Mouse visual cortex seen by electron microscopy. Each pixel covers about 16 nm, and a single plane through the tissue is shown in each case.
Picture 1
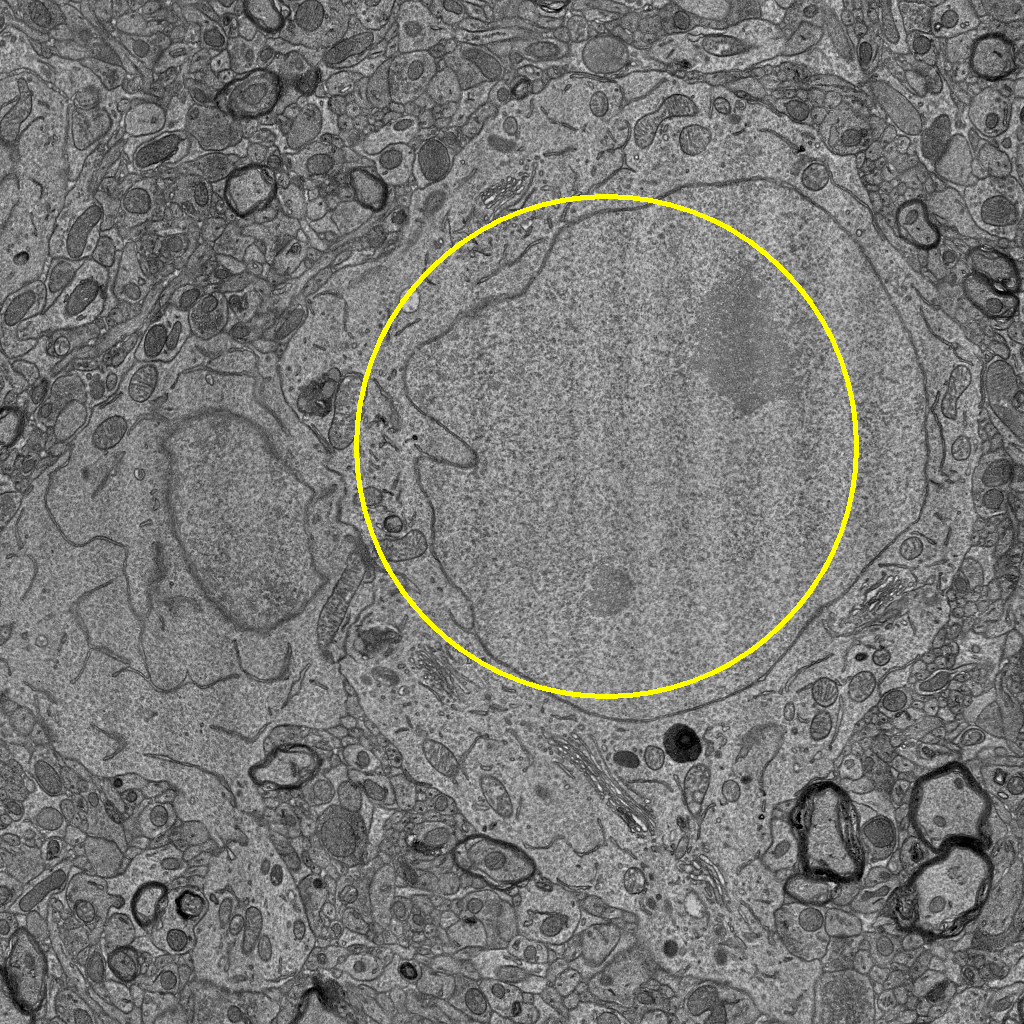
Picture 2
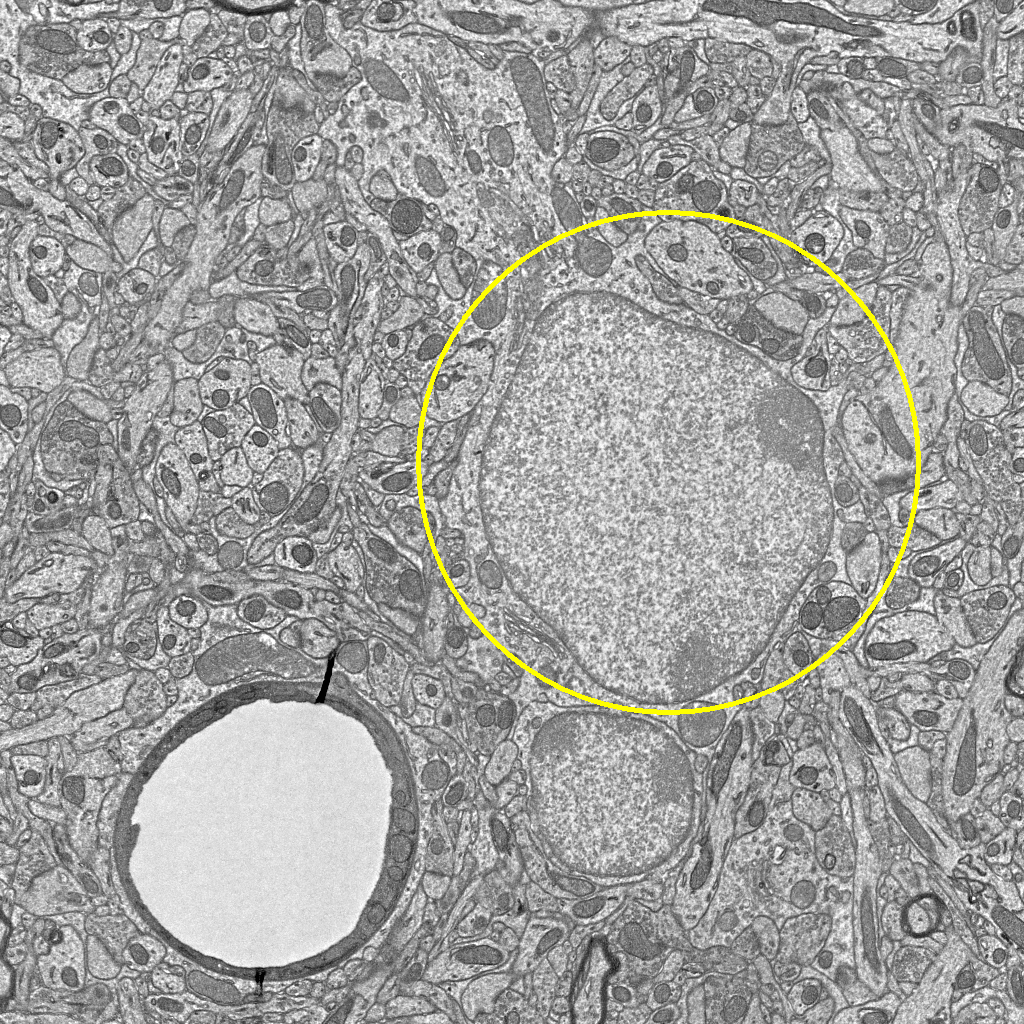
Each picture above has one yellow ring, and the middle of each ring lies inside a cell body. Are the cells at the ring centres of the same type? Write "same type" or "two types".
two types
